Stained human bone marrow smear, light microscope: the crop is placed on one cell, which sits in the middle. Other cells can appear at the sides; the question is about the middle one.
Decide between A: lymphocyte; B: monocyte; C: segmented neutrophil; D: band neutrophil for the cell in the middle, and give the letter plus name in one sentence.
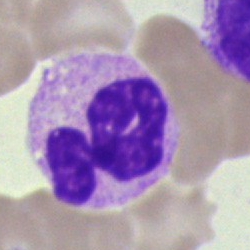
The one to choose is option C, as the cell in the middle is a segmented neutrophil.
